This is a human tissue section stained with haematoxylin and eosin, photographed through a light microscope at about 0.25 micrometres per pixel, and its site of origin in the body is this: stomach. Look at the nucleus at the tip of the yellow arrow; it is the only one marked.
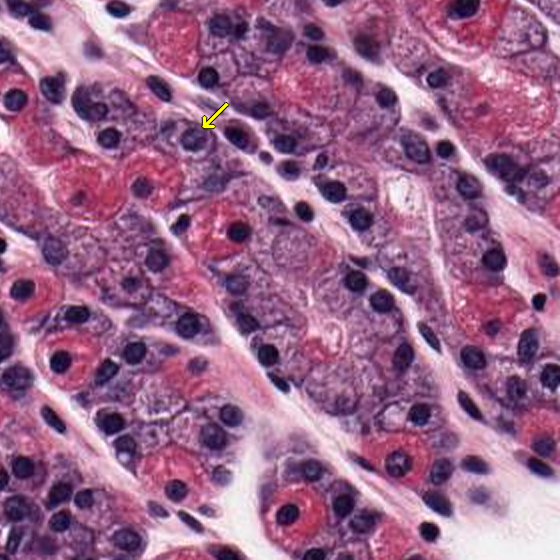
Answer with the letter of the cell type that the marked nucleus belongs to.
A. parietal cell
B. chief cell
B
